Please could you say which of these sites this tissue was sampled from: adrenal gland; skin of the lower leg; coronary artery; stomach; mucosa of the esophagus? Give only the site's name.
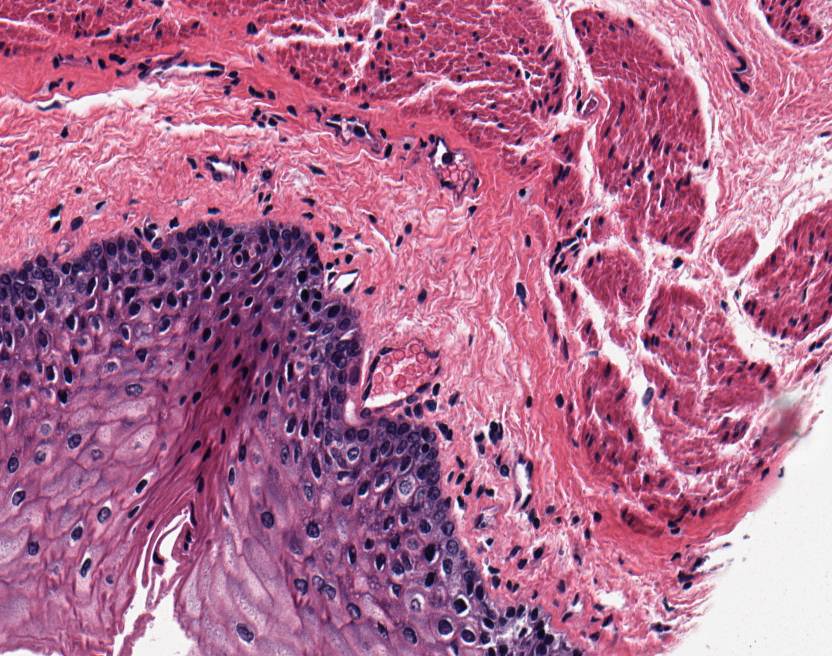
mucosa of the esophagus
